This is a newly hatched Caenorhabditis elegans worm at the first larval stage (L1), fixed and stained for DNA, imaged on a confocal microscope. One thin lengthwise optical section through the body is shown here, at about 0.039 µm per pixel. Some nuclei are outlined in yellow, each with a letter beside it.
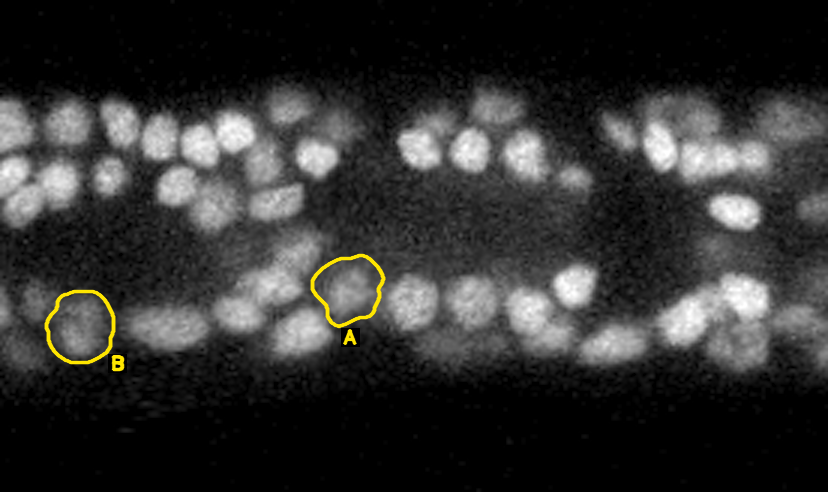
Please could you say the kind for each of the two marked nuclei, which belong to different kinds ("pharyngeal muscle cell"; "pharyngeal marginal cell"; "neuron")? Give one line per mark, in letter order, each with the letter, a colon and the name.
A: neuron
B: pharyngeal muscle cell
